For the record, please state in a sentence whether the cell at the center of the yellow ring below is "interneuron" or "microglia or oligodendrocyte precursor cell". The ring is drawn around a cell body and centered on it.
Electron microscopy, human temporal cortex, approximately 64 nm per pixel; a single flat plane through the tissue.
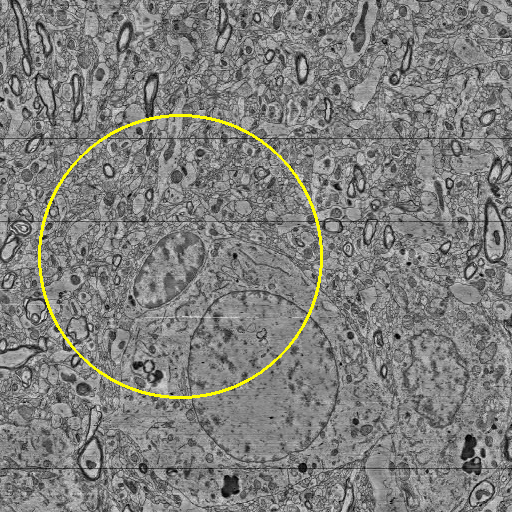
The cell at the ring's center is a microglial cell or oligodendrocyte precursor cell.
